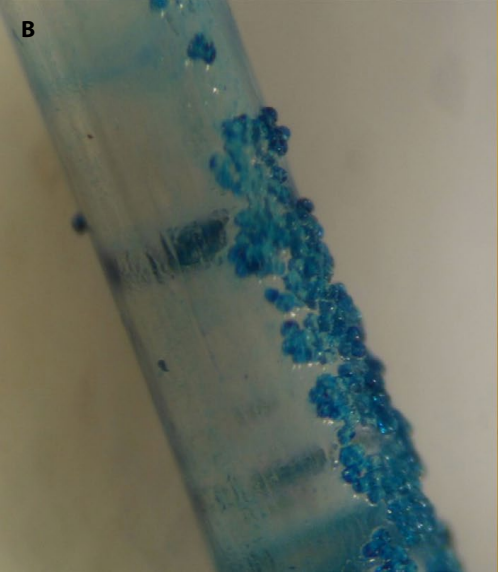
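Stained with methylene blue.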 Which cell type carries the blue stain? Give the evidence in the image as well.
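Many small, round, uniform blue grains. The grains cluster in a band along a transparent cylindrical strand.
Conclusion: Pollen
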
